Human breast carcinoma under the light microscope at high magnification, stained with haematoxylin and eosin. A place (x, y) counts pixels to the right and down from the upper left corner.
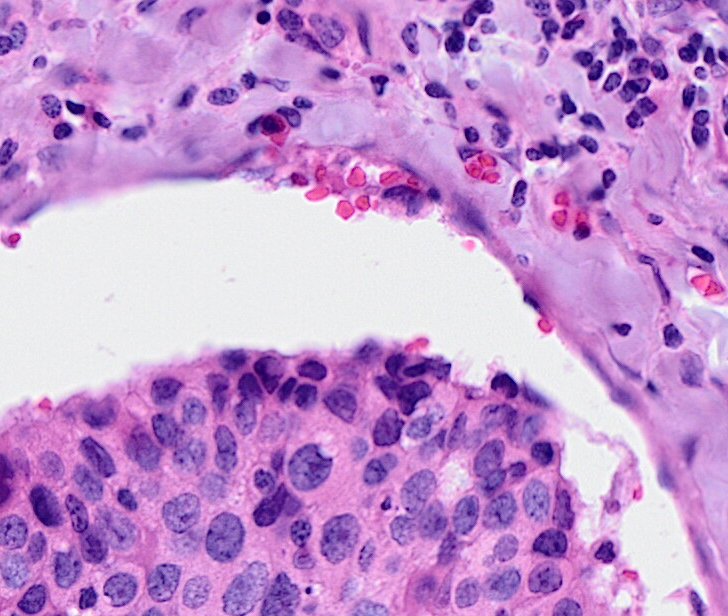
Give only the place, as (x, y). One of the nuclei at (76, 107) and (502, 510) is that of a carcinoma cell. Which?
(502, 510)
